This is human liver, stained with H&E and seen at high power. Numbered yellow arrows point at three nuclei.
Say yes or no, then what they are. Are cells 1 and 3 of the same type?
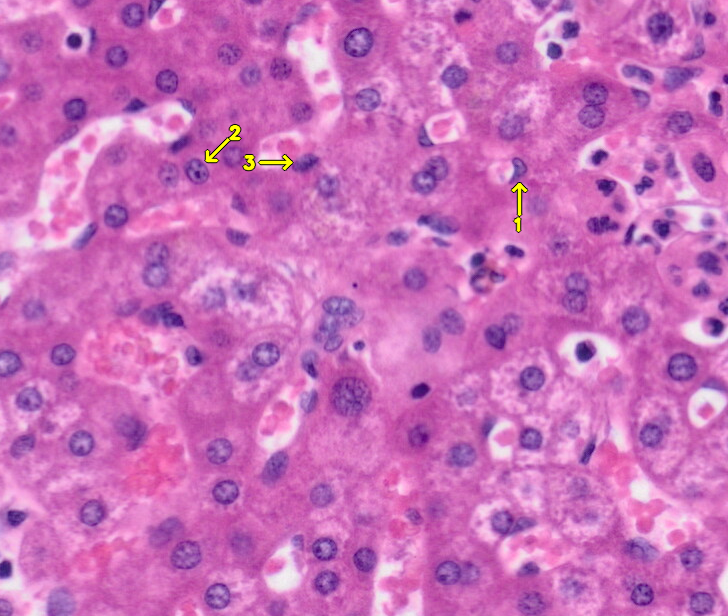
No, cell 1 is an endothelial cell and cell 3 is a fibroblast or stellate cell.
